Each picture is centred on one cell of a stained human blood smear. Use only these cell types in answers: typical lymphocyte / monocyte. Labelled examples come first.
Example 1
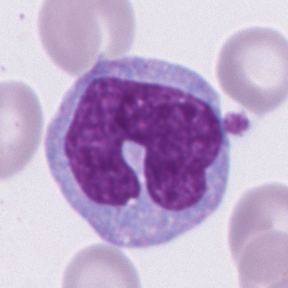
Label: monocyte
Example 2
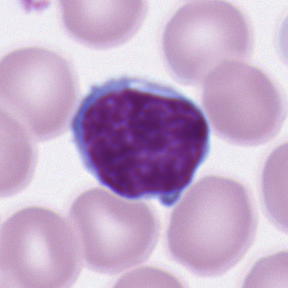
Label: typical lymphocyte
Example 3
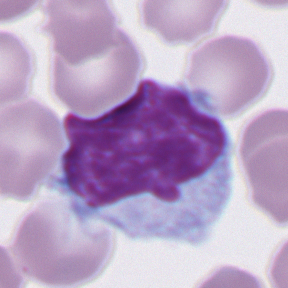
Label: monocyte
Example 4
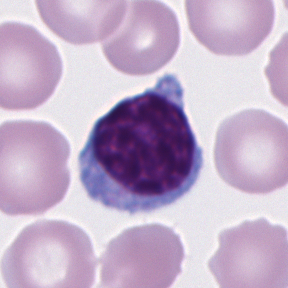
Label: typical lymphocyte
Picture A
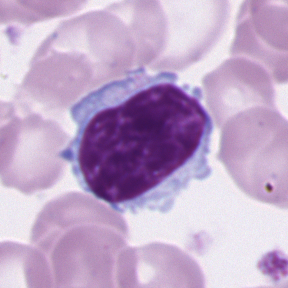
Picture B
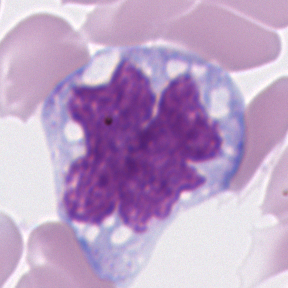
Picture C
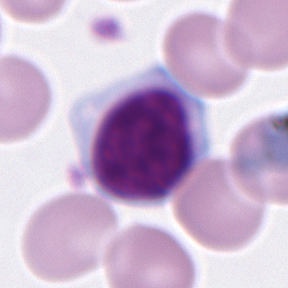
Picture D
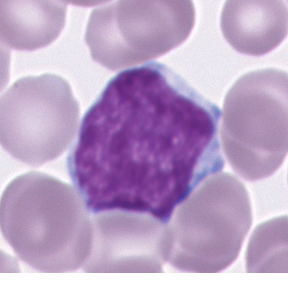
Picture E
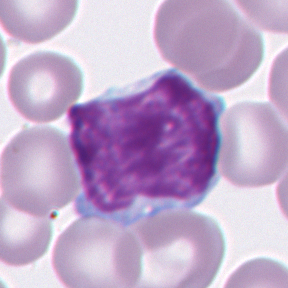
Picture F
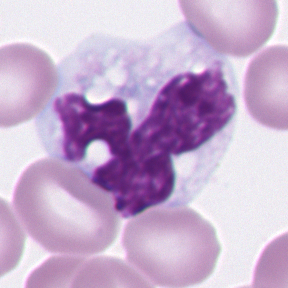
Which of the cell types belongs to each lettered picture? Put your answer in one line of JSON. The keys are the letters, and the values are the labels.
{"A": "typical lymphocyte", "B": "monocyte", "C": "typical lymphocyte", "D": "typical lymphocyte", "E": "typical lymphocyte", "F": "monocyte"}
